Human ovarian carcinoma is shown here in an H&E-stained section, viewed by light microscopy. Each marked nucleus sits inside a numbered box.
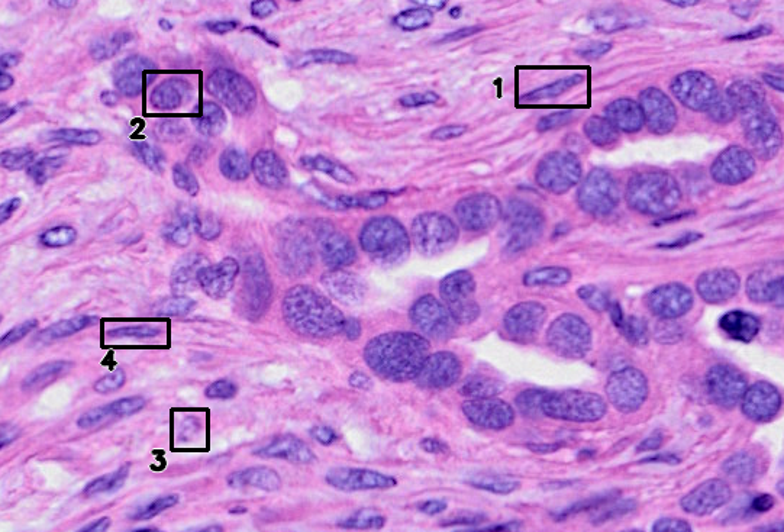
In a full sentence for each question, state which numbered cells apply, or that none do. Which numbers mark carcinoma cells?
Across all the numbered cells, only number 2 is a carcinoma cell.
